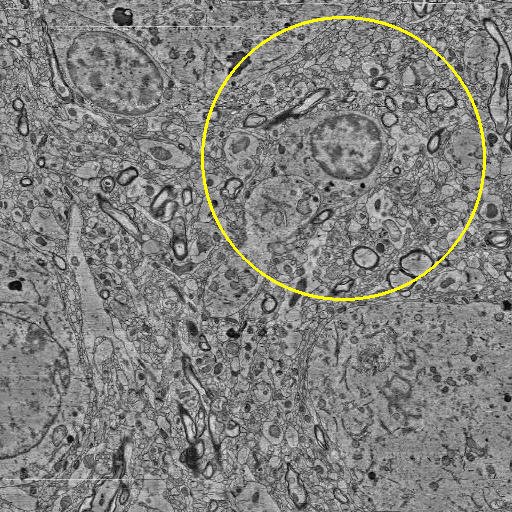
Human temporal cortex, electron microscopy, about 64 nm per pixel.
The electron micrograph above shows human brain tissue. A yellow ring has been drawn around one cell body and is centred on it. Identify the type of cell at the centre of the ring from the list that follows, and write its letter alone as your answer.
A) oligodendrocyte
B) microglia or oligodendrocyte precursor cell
A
